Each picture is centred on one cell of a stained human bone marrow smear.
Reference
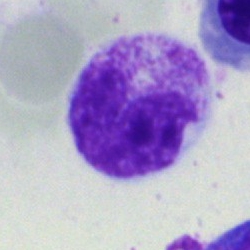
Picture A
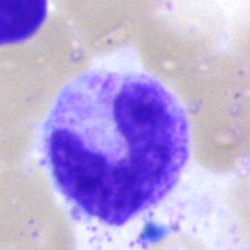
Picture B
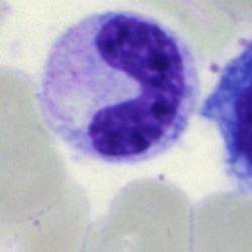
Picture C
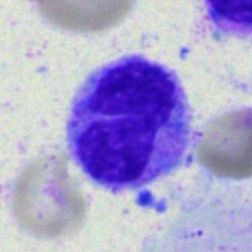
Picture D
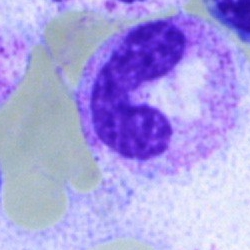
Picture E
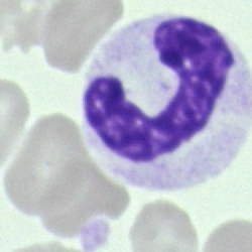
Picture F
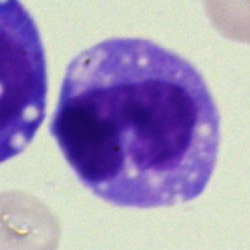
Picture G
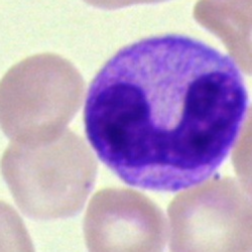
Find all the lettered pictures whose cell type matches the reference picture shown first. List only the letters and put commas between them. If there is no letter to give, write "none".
A, B, D, E, G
